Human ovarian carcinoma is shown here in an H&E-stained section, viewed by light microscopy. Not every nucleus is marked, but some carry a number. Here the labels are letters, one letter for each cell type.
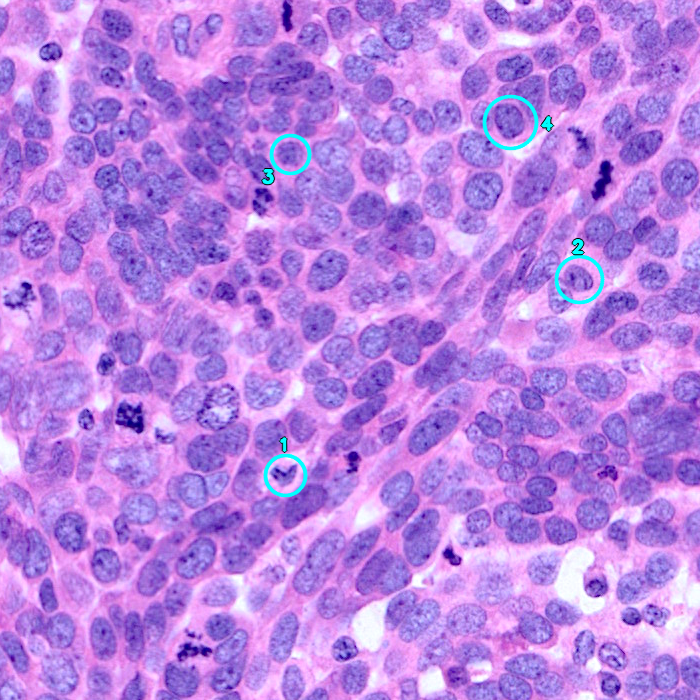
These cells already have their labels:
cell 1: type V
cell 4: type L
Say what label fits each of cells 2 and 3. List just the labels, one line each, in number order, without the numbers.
type V
type L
